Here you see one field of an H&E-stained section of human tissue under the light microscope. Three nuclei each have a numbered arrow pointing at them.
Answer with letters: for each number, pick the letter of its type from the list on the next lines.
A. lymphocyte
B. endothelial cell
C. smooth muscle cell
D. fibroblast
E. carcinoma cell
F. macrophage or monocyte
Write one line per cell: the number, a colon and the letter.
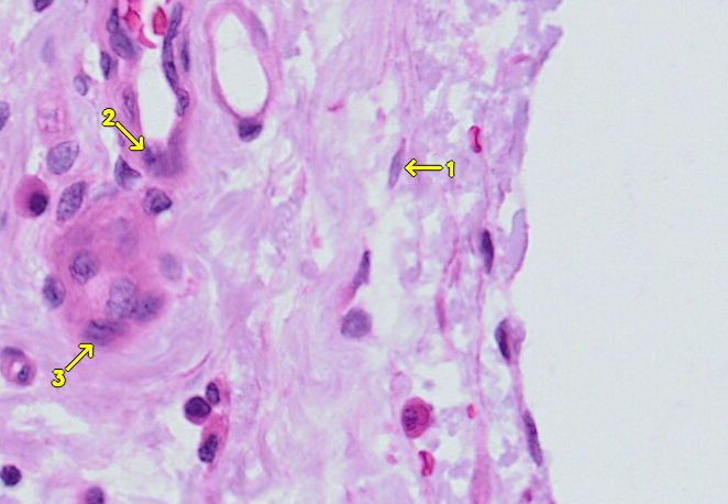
1: D
2: B
3: B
